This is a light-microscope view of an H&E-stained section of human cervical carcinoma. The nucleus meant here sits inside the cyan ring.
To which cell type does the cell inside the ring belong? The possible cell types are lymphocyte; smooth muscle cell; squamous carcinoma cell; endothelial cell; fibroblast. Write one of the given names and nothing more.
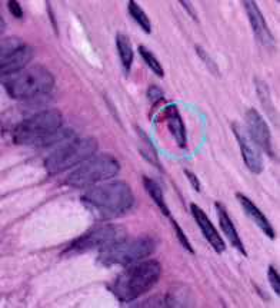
endothelial cell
